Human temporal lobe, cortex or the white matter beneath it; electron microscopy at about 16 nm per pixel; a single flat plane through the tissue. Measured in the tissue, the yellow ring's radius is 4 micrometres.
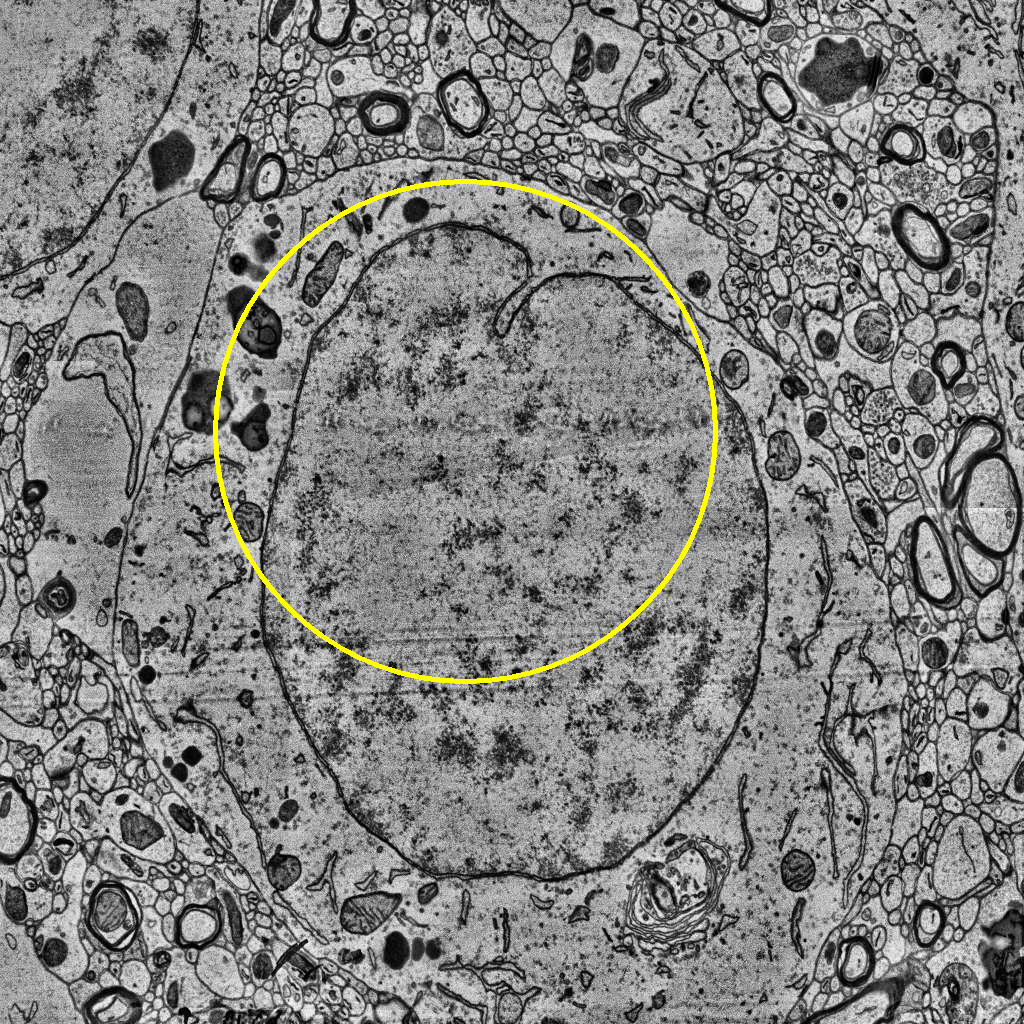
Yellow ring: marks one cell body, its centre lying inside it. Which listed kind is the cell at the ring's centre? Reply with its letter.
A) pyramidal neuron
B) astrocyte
A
